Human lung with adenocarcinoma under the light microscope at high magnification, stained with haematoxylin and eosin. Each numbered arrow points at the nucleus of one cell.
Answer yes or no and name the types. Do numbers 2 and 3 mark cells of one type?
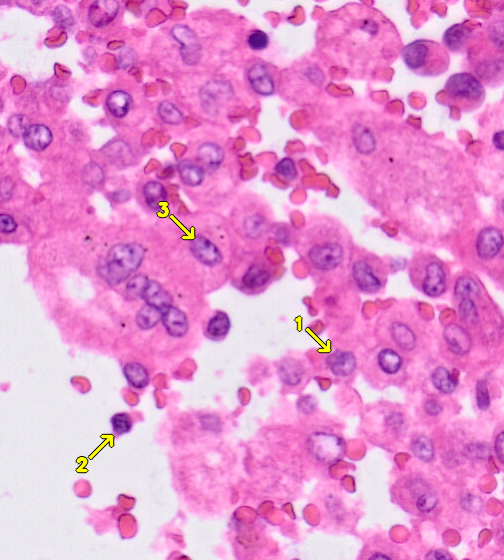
No, as to type, cell 2 is a lymphocyte, and cell 3 is a macrophage or monocyte.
